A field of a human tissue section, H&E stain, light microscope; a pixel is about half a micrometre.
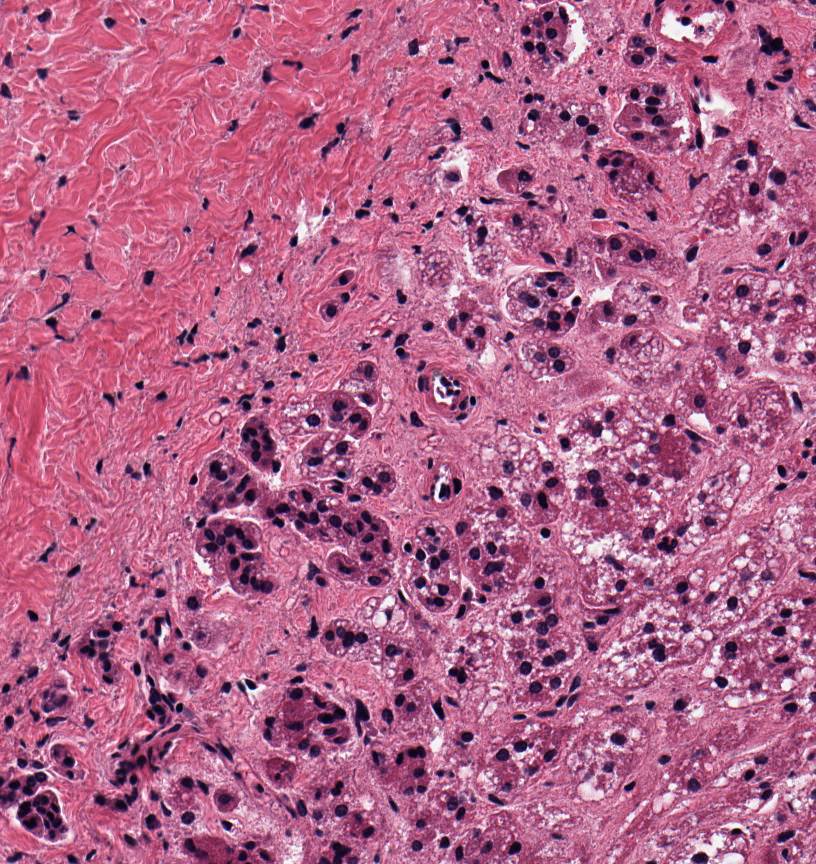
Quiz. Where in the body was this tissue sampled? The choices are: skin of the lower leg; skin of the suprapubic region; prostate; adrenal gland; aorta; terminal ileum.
adrenal gland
